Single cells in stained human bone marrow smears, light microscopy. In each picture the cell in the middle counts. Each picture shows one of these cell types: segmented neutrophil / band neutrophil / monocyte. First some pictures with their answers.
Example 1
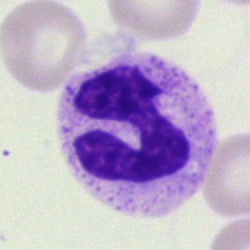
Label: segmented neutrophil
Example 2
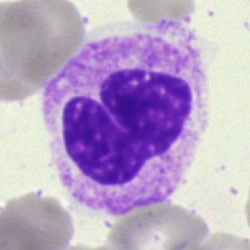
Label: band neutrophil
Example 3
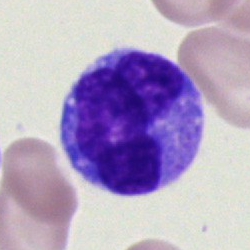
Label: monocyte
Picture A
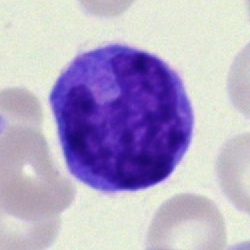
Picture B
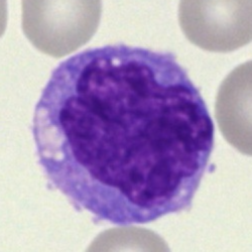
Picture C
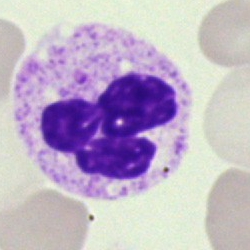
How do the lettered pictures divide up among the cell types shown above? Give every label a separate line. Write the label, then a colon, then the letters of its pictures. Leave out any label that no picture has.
segmented neutrophil: C
monocyte: A, B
